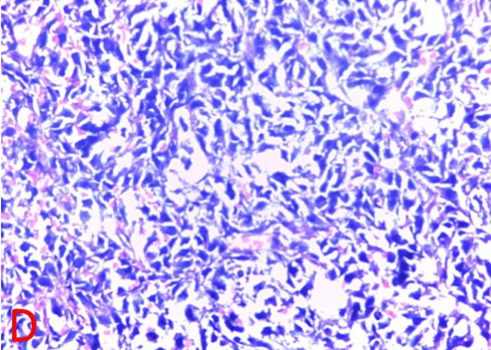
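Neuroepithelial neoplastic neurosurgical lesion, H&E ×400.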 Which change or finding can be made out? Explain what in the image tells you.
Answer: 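Tumor cells with scant cytoplasm. Sheets of densely packed cells with dark blue, angulated nuclei. Little or no cytoplasm is visible around the nuclei.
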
